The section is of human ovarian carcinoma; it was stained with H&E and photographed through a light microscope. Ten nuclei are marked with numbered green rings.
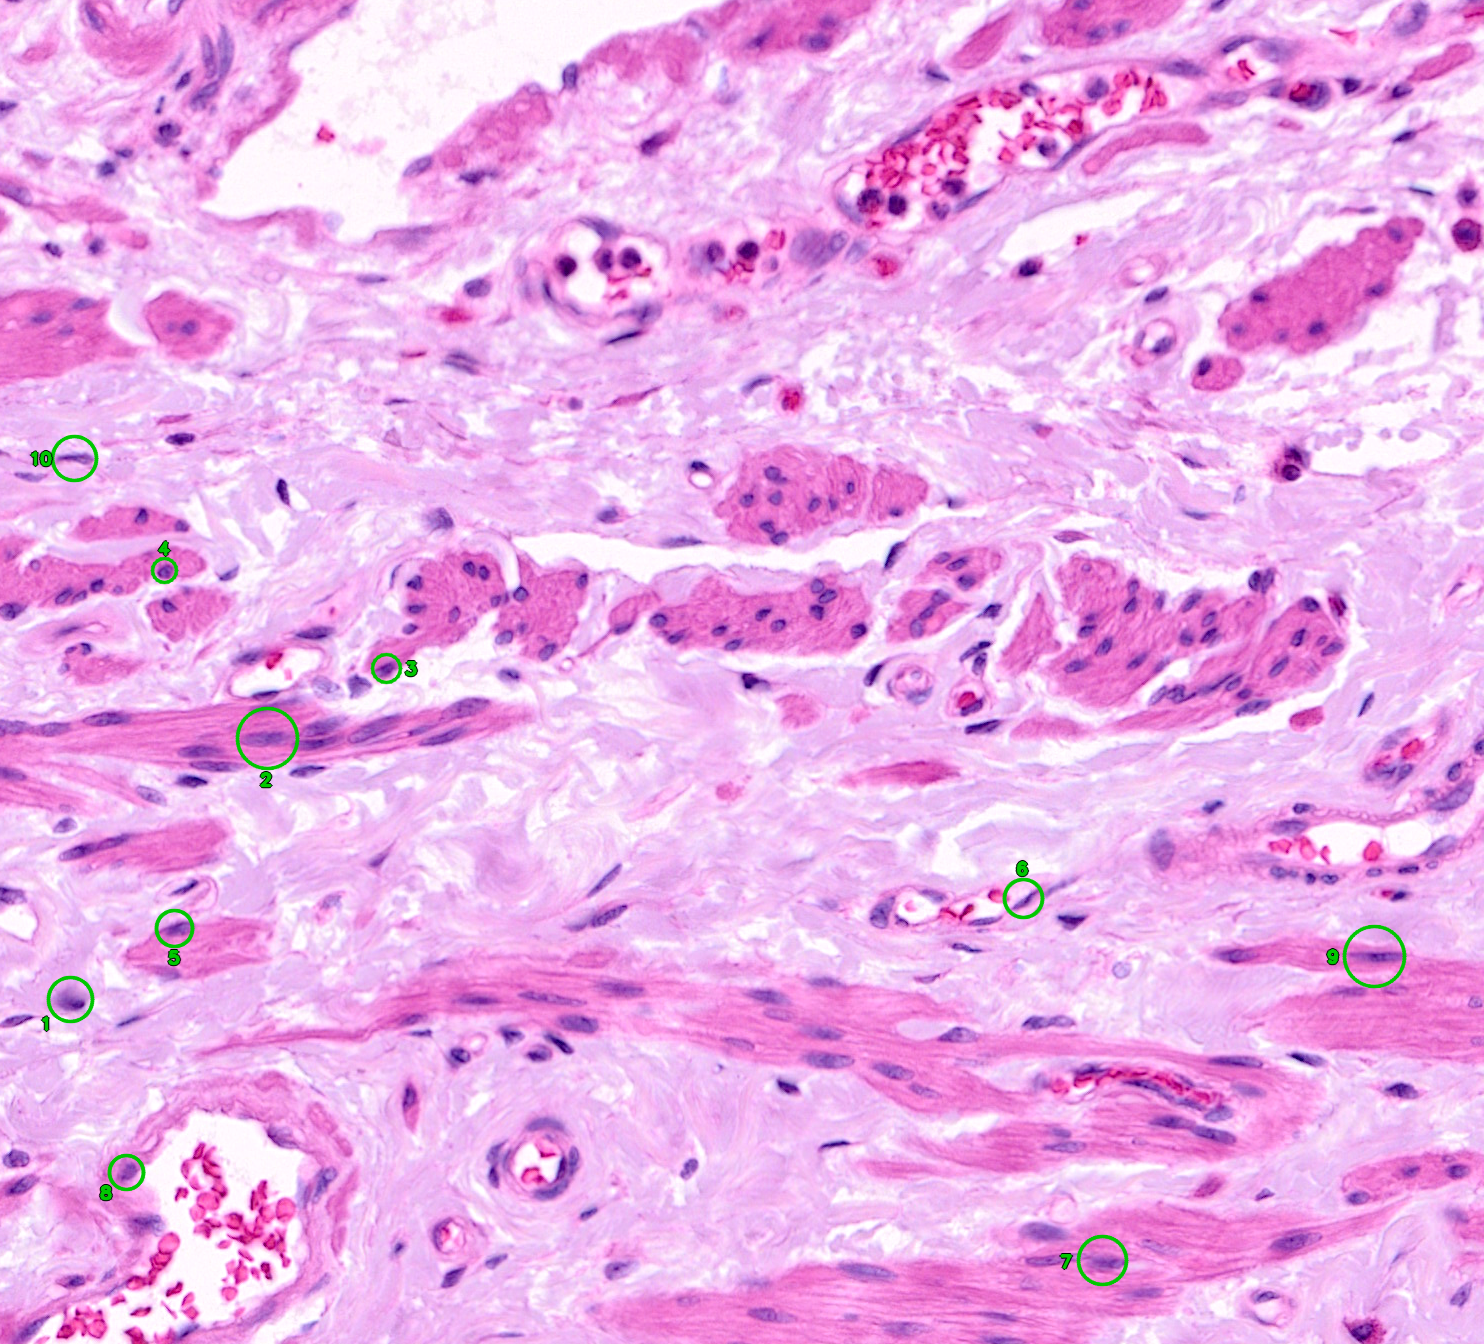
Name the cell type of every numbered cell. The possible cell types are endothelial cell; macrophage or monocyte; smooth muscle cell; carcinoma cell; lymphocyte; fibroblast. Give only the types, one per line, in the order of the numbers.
fibroblast
smooth muscle cell
smooth muscle cell
smooth muscle cell
smooth muscle cell
endothelial cell
smooth muscle cell
endothelial cell
smooth muscle cell
fibroblast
